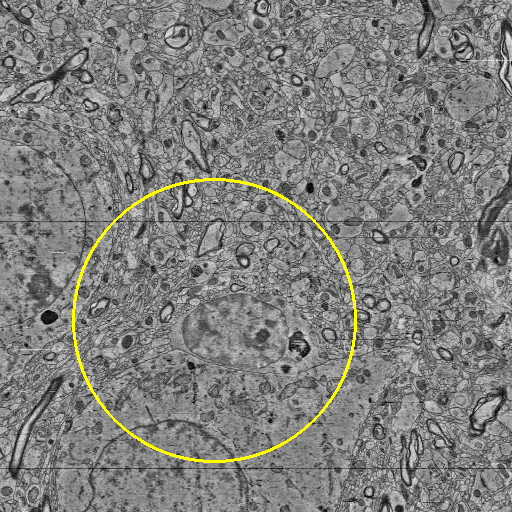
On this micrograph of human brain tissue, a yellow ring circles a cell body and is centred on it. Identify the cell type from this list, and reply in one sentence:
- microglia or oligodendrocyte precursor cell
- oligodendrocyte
The cell at the centre is an oligodendrocyte.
